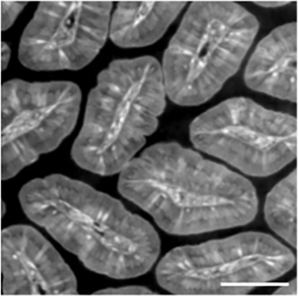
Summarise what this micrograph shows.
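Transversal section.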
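Cut across, the villi of the small intestine appear as closely packed oval profiles separated by dark lumen. Each has a thin central core, sometimes slit-like, surrounded by a thick epithelial covering in which the tall cells give a radially striped texture.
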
